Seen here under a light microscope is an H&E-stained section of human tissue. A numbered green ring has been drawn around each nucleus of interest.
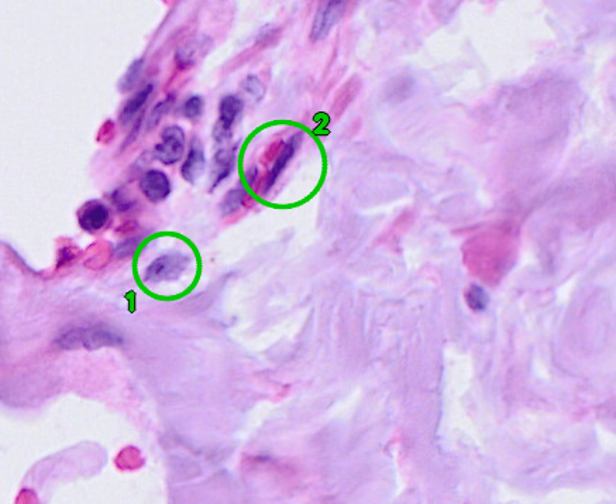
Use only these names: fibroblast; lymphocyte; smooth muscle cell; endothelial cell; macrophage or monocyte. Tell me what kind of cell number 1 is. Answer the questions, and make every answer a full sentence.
The numbered cell 1 in this field is a fibroblast.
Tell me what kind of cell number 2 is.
Denoted by the label 2 in the section is an endothelial cell.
